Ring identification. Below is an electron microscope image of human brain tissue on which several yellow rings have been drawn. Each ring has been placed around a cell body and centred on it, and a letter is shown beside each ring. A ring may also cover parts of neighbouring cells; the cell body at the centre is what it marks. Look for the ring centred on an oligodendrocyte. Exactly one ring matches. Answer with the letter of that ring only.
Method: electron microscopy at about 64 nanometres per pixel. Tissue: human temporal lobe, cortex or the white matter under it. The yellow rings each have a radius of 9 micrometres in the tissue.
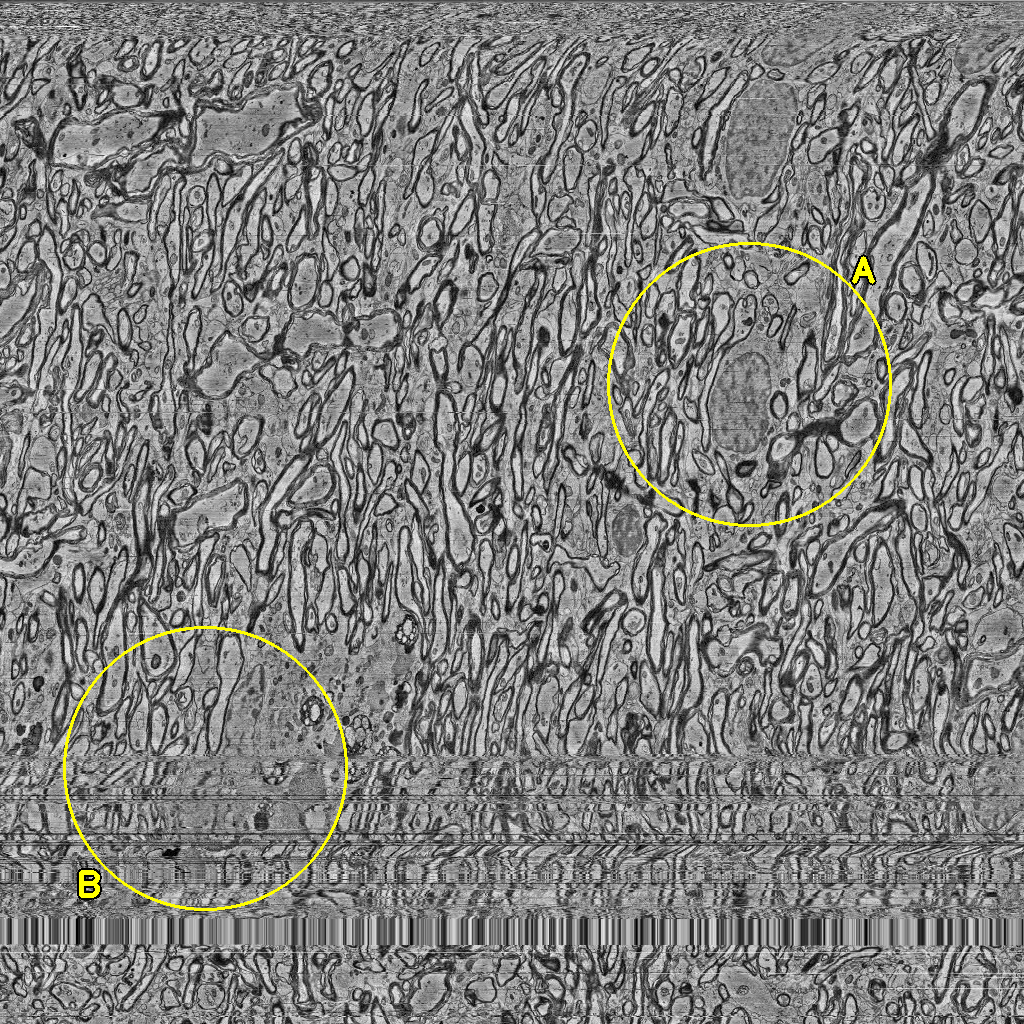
A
